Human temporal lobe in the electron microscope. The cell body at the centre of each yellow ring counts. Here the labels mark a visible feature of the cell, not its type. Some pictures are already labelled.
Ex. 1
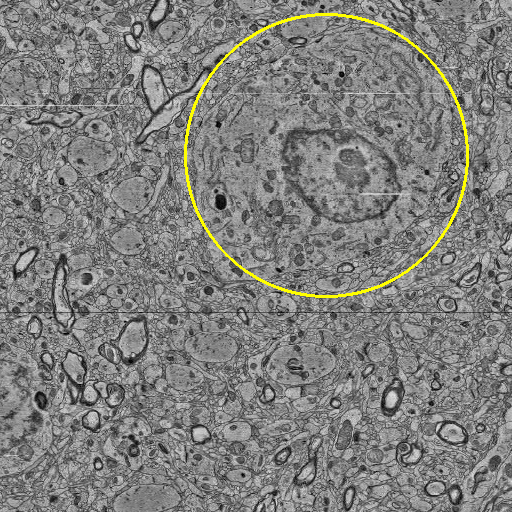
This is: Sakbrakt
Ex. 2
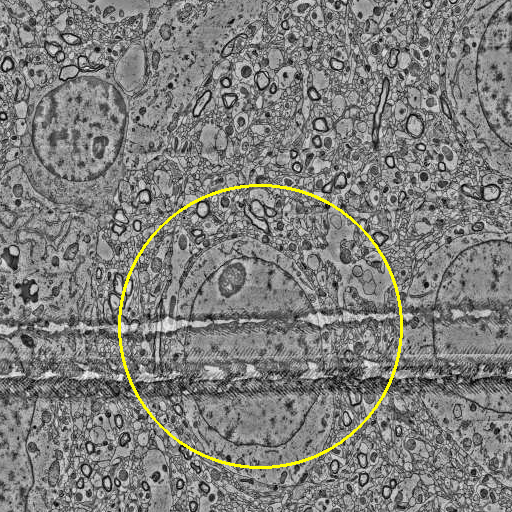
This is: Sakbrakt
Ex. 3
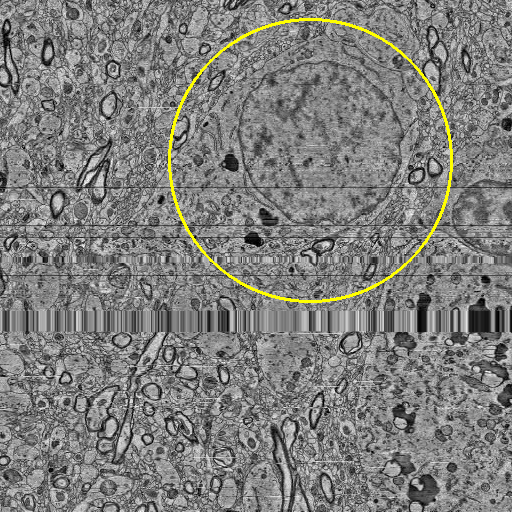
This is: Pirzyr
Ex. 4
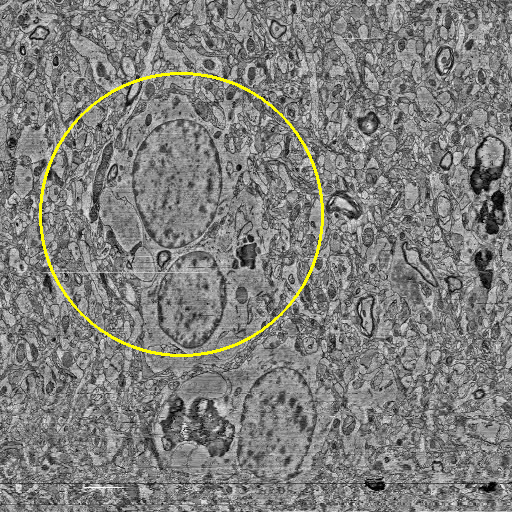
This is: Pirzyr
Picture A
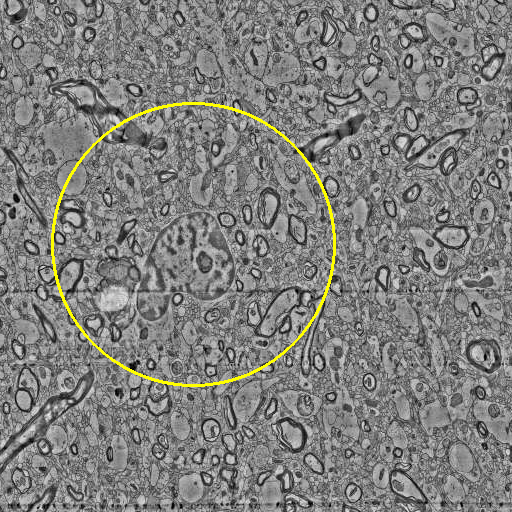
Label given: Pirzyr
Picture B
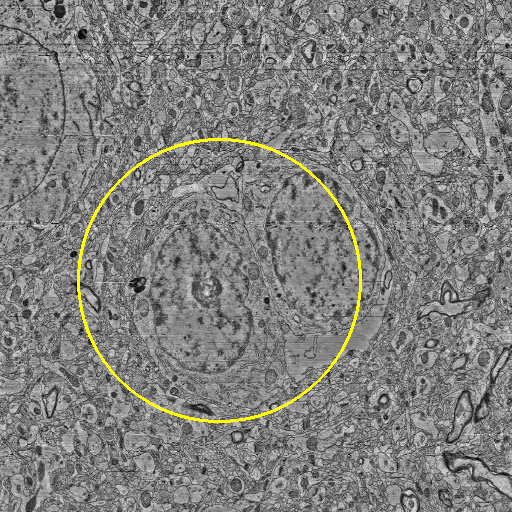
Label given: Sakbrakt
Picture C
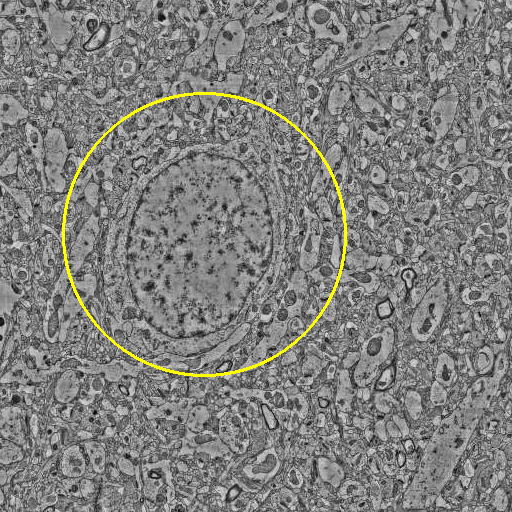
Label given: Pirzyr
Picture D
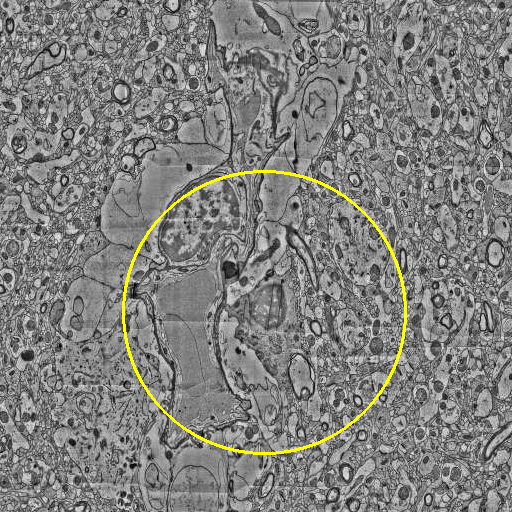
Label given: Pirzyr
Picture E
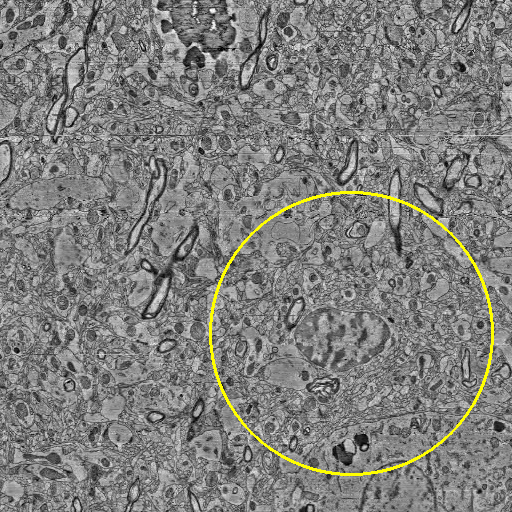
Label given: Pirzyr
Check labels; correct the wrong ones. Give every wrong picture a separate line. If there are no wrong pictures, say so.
A is labelled Pirzyr; correct label: Sakbrakt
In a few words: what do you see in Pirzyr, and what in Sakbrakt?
Pirzyr: no nucleolus seen; Sakbrakt: nucleolus seen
